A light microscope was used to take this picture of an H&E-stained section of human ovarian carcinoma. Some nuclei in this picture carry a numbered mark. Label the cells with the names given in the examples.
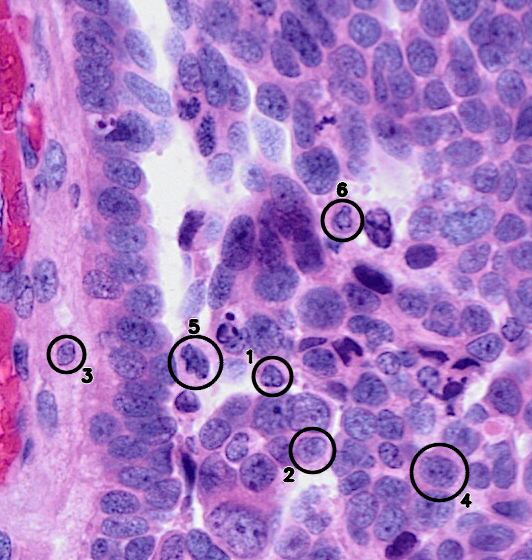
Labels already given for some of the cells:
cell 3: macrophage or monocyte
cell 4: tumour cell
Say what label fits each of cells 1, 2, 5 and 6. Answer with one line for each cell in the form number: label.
1: macrophage or monocyte
2: tumour cell
5: macrophage or monocyte
6: macrophage or monocyte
